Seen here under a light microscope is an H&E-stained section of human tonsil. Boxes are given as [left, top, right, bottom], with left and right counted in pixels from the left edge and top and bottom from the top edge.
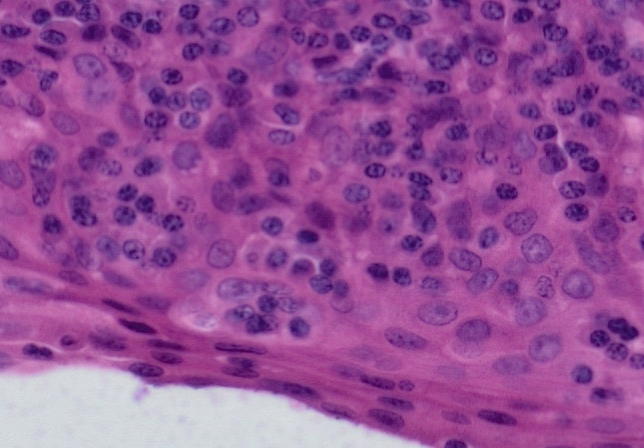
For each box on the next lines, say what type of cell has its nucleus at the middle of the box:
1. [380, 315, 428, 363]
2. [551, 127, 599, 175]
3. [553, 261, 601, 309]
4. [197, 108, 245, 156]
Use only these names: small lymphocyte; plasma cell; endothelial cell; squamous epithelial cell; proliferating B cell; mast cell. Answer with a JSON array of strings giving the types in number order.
["squamous epithelial cell", "plasma cell", "squamous epithelial cell", "squamous epithelial cell"]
